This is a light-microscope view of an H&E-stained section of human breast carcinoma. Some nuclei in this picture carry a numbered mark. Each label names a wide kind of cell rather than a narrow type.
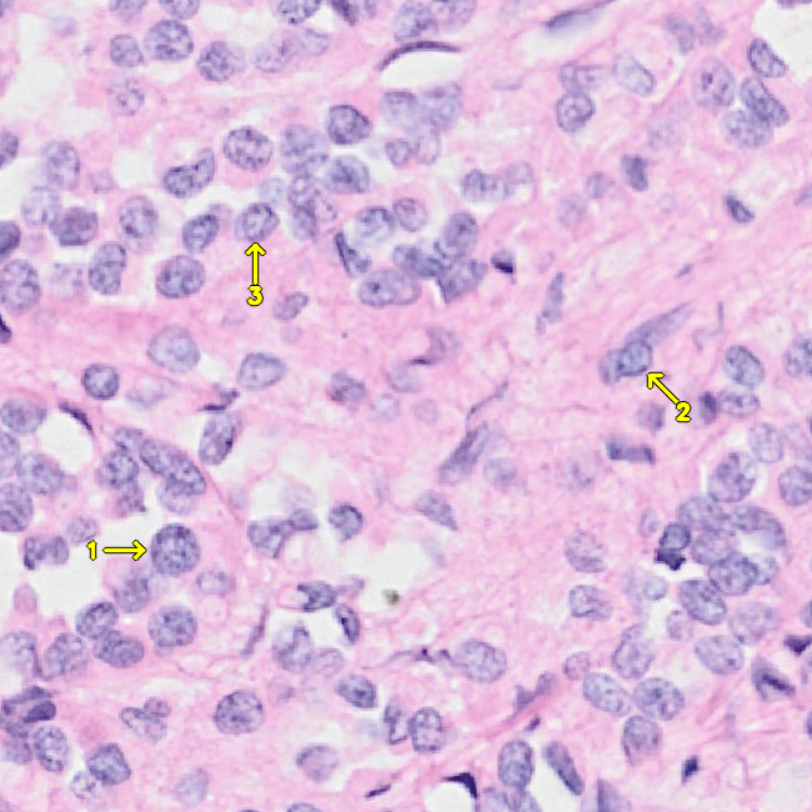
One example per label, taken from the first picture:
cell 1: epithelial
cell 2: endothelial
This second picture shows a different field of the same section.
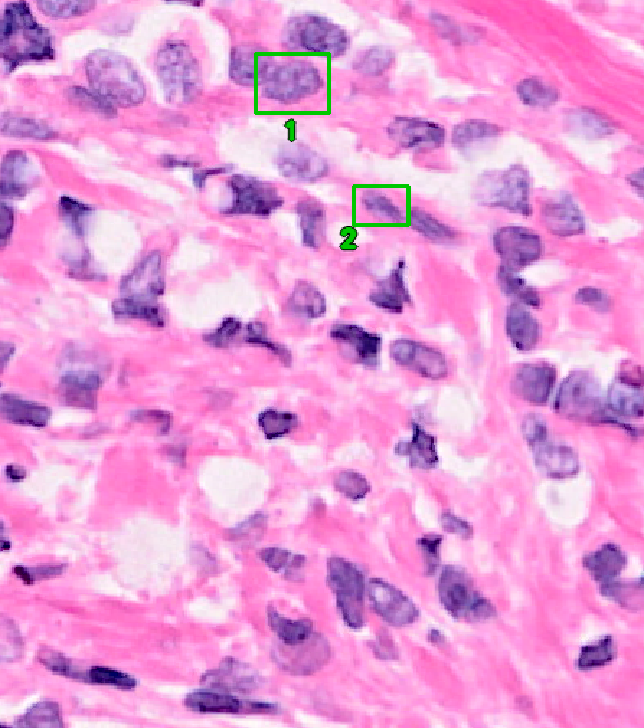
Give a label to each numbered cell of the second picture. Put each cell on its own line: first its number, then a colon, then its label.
1: epithelial
2: endothelial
